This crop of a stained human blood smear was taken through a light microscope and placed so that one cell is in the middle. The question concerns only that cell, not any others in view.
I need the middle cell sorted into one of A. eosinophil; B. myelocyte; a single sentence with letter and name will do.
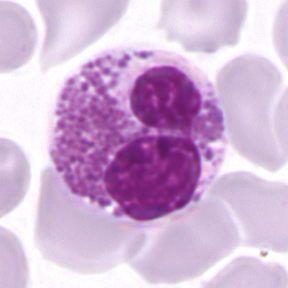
Option A is the right choice, the central cell being an eosinophil.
